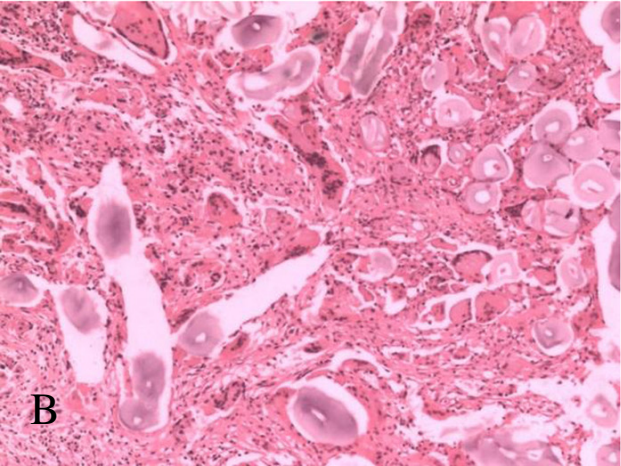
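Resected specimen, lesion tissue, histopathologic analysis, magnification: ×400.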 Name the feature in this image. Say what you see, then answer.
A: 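Foreign body. Many rounded and elongated pale lilac-grey acellular fragments lie throughout the tissue. Many fragments have a central slit or clear core and sit in empty clefts. Cellular tissue with dark nuclei fills the spaces between the fragments.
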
